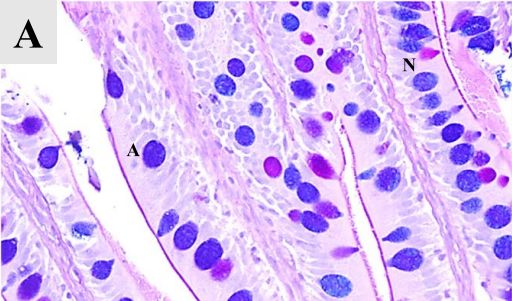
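These are intestinal mucosal folds lined by tall columnar epithelium, with many goblet cells scattered among the absorptive cells. The goblet cells are oval or flask-shaped and are filled with stained mucin, while the surrounding epithelial cells have pale pink cytoplasm. Their contents take different colours: many are blue, some are bright pink-magenta, and others are an intermediate purple. Thin cores of connective tissue run along the middle of each fold beneath the epithelium.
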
